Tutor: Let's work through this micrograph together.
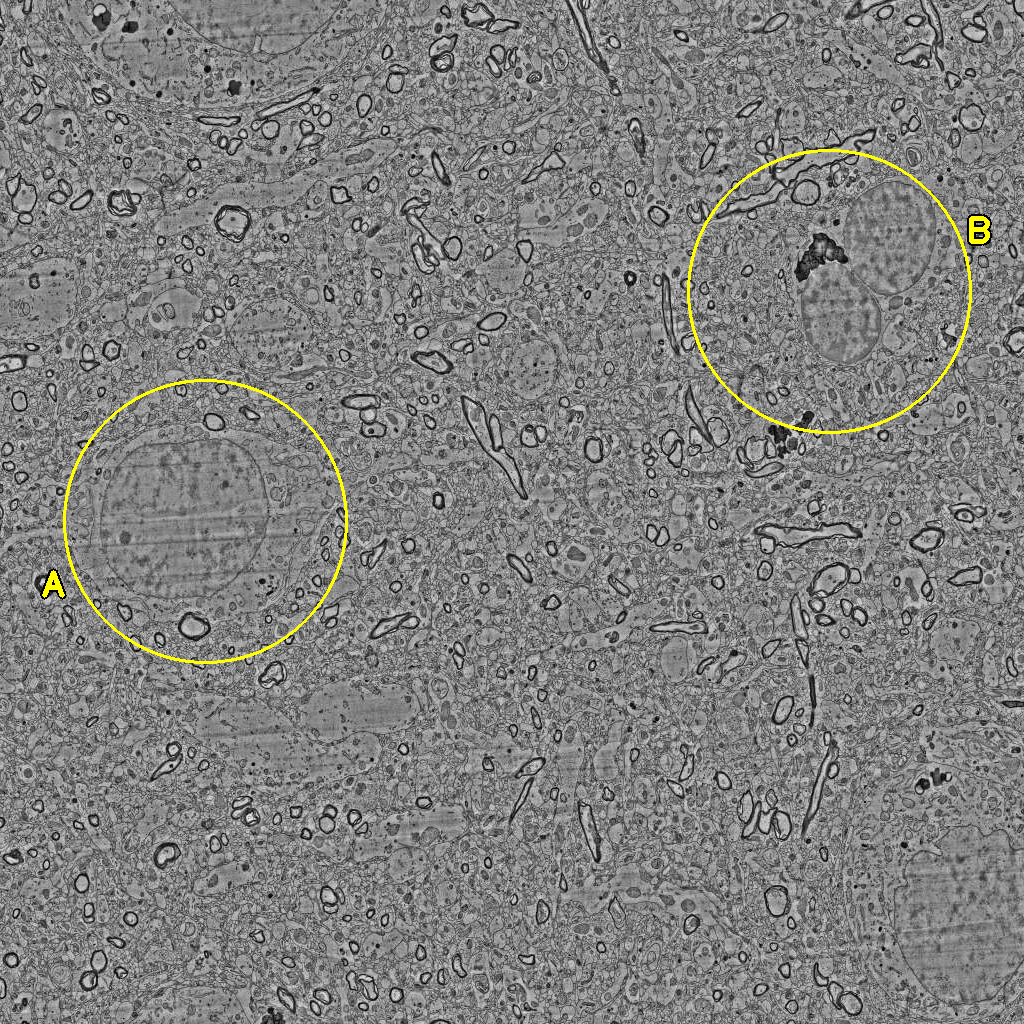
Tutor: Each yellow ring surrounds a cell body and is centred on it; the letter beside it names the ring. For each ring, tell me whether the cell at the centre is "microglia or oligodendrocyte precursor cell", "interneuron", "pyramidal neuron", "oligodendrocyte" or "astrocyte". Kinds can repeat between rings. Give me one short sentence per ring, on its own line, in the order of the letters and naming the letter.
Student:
The ring labelled A is centred on an interneuron.
The ring labelled B is centred on an oligodendrocyte.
